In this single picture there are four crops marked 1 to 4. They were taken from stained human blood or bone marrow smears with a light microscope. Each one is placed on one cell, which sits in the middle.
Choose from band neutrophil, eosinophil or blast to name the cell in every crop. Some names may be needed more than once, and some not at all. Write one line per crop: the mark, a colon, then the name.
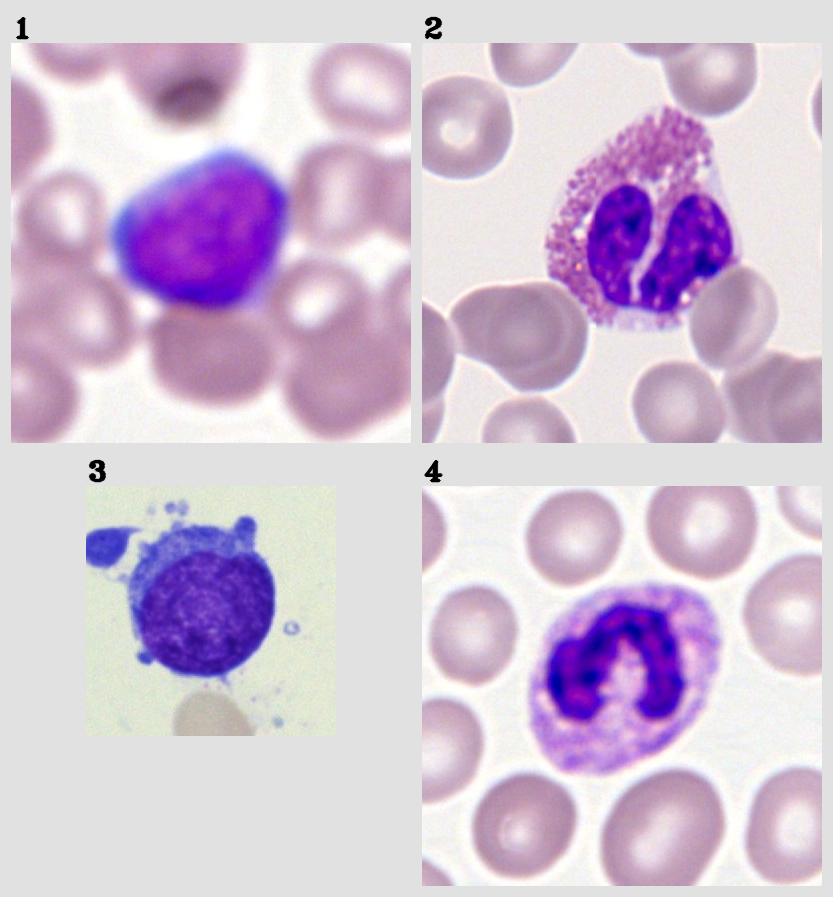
1: blast
2: eosinophil
3: blast
4: band neutrophil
